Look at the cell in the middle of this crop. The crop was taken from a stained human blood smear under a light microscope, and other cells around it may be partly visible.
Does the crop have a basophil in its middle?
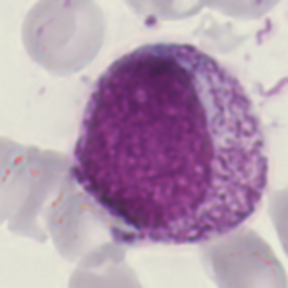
no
